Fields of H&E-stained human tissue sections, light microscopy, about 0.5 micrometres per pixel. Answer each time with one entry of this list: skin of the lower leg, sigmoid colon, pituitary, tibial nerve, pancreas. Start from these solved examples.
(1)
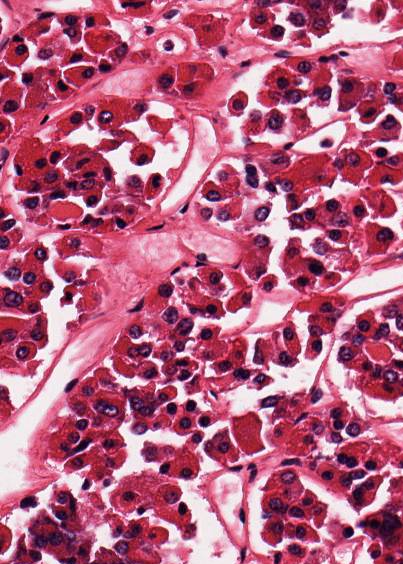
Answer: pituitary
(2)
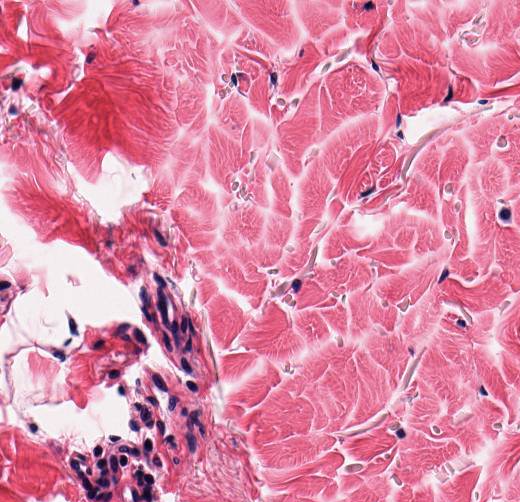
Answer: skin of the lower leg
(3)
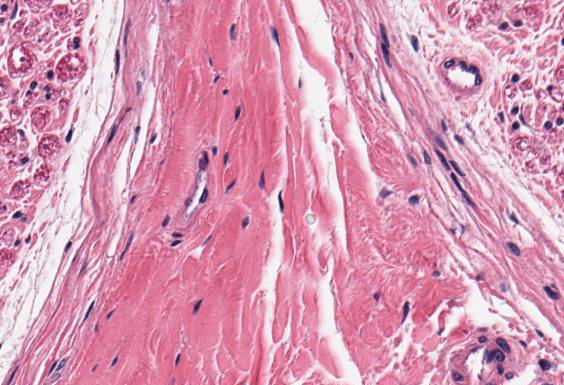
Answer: tibial nerve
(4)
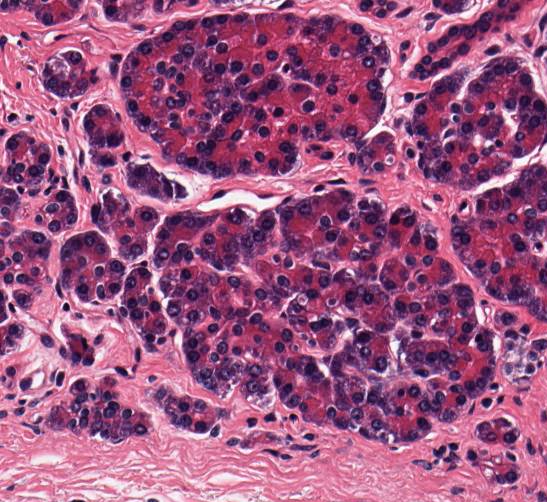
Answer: pancreas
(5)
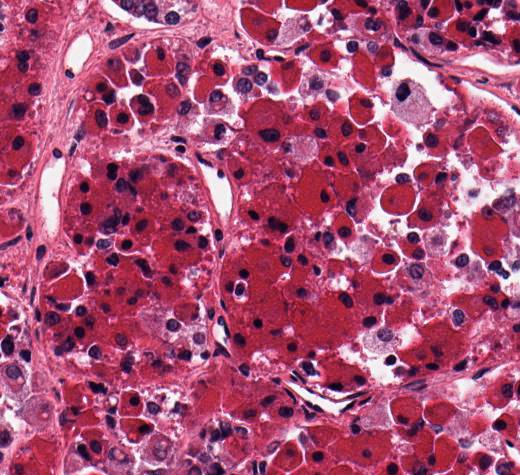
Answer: pituitary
